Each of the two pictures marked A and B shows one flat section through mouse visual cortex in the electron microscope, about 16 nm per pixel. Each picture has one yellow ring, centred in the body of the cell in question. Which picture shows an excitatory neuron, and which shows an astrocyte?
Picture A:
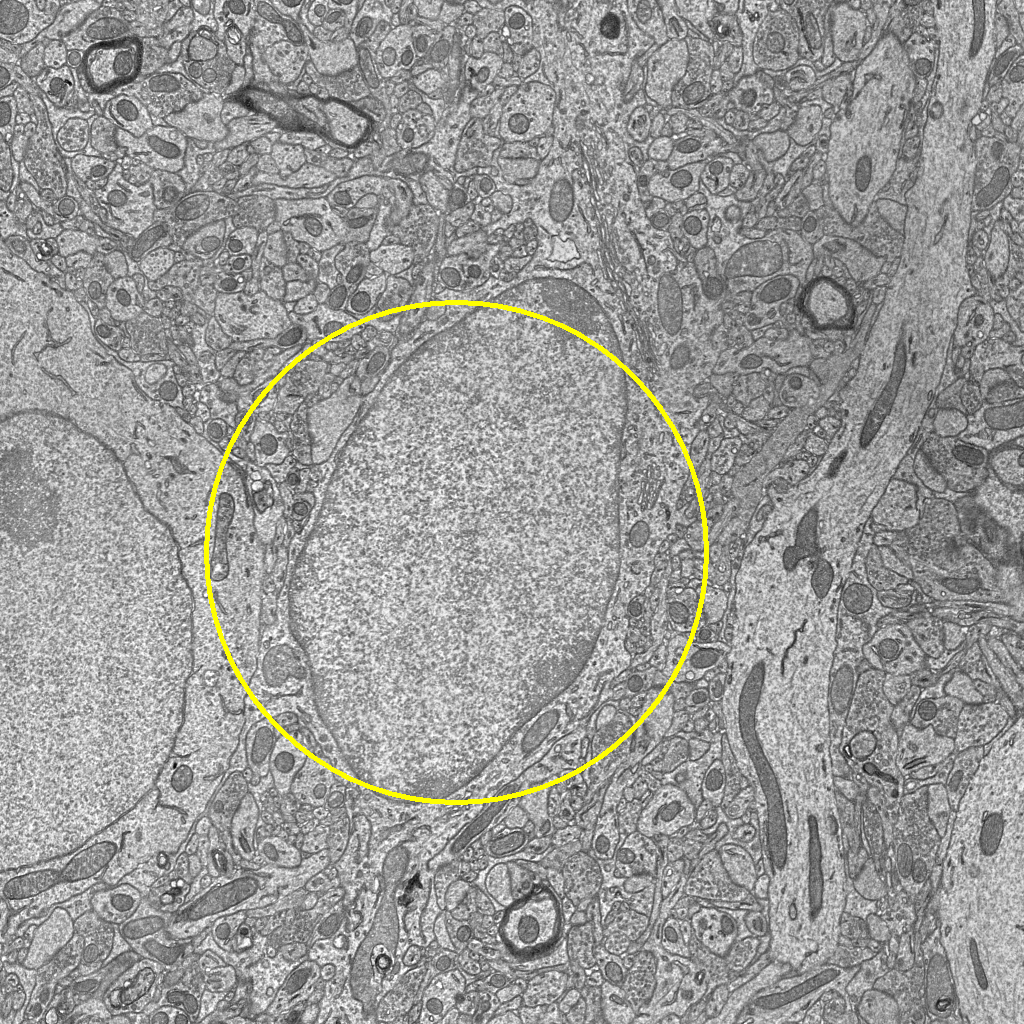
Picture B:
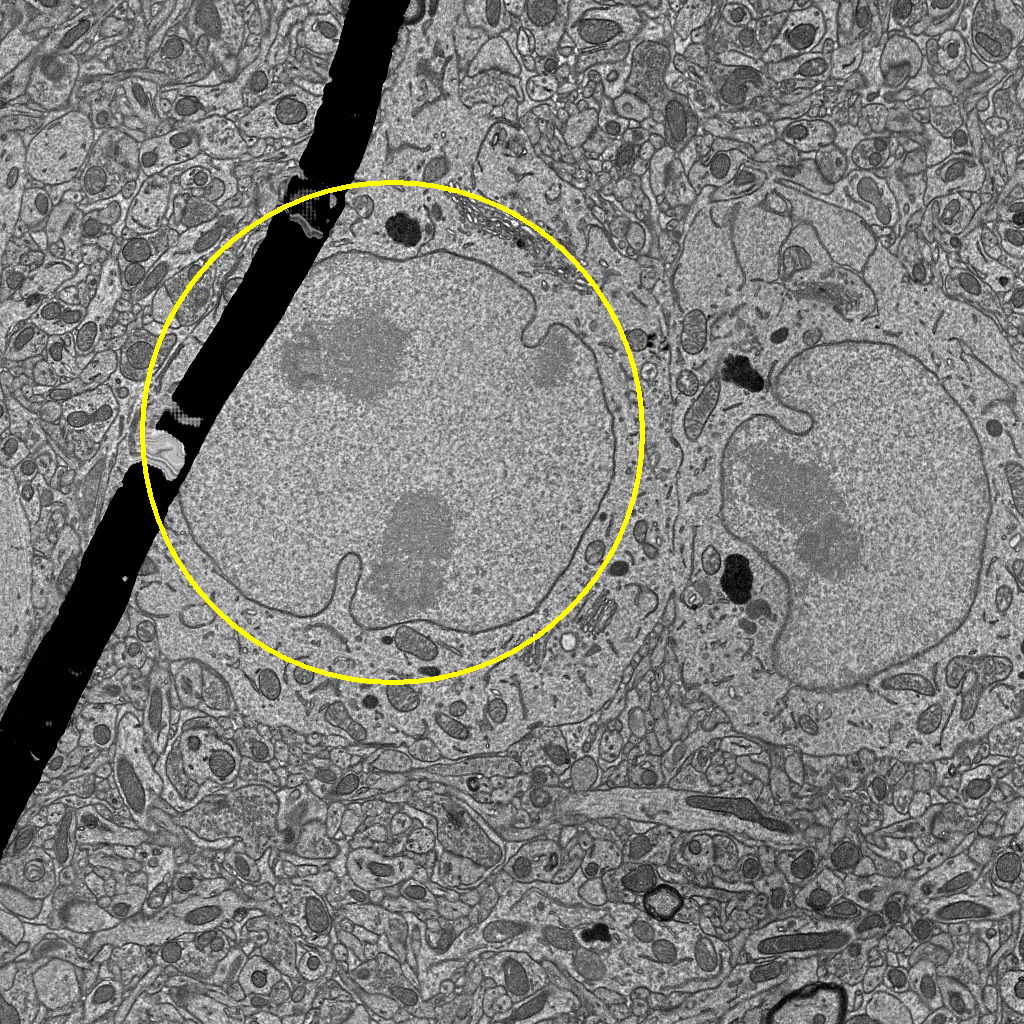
In picture A the cell is an astrocyte; in picture B, an excitatory neuron.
